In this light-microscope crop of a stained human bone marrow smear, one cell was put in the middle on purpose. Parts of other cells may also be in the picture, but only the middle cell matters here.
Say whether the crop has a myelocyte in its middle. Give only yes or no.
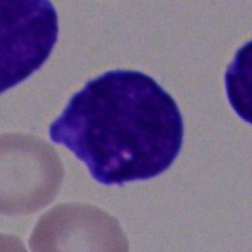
no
